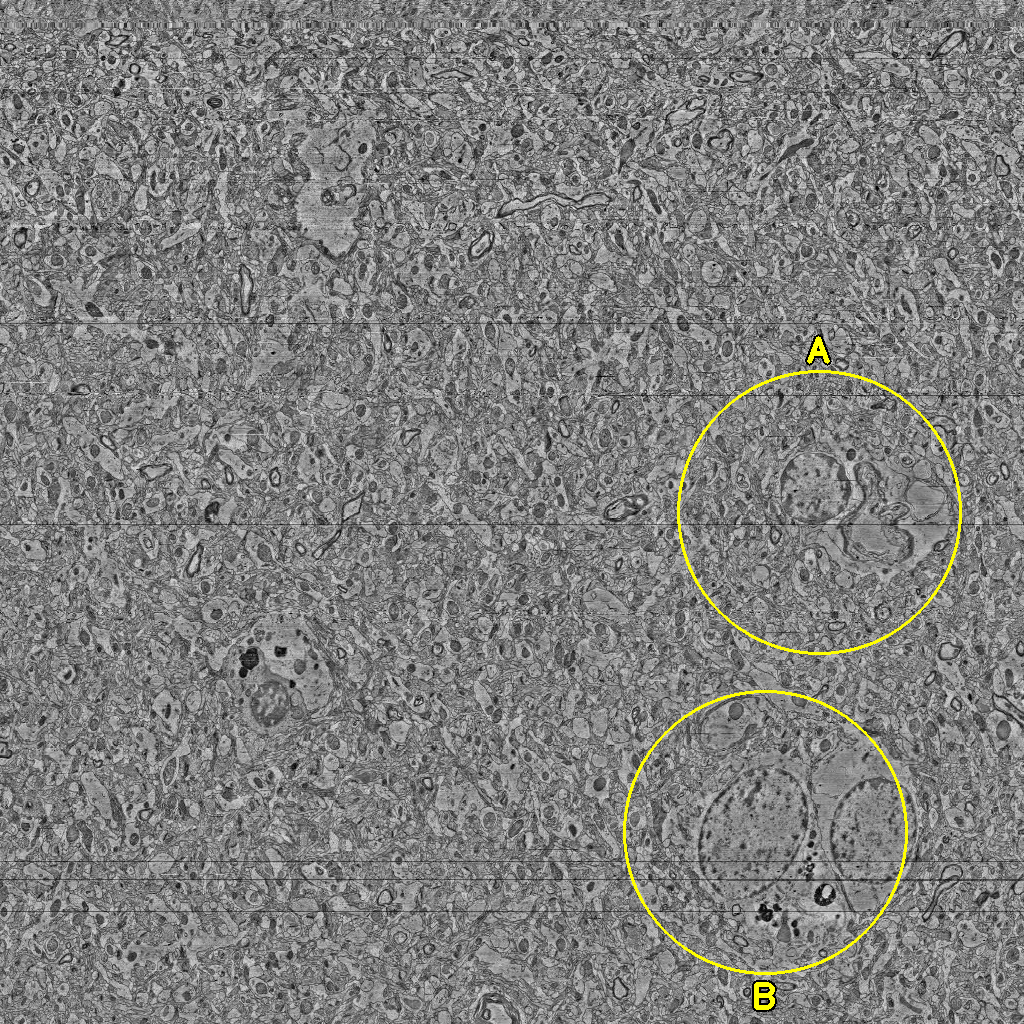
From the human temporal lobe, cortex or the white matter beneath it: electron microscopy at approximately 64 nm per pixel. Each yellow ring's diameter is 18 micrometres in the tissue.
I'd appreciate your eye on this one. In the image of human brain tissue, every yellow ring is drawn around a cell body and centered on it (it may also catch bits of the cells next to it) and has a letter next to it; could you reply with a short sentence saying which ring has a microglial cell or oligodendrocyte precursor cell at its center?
Ring A is centered on it.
